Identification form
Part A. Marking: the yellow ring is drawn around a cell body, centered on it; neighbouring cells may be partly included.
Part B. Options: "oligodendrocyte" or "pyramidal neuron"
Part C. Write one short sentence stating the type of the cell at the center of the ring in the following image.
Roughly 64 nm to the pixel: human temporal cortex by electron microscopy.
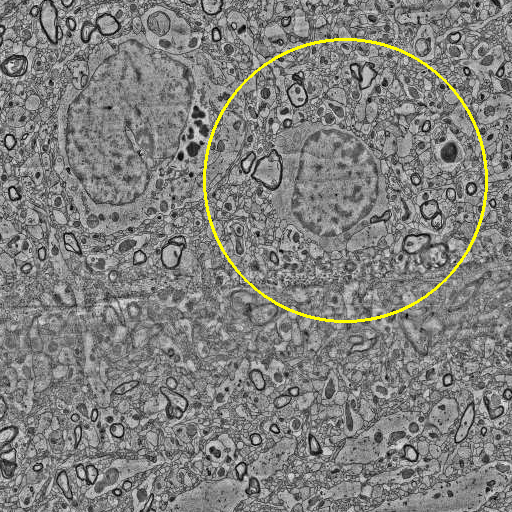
The center of the ring holds an oligodendrocyte.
